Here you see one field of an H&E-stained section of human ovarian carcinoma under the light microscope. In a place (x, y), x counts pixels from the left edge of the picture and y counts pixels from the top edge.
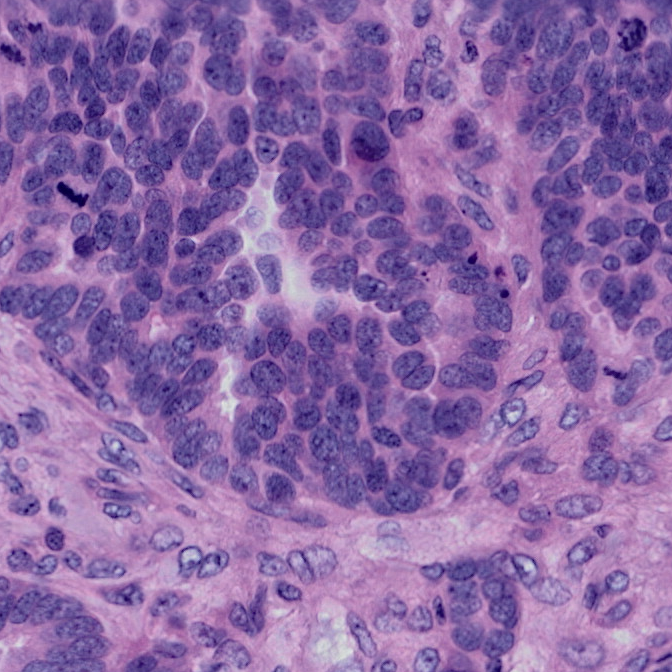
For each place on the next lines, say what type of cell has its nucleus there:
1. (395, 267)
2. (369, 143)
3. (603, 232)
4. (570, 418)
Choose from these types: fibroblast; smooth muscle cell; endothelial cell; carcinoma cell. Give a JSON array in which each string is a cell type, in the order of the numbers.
["carcinoma cell", "carcinoma cell", "carcinoma cell", "fibroblast"]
